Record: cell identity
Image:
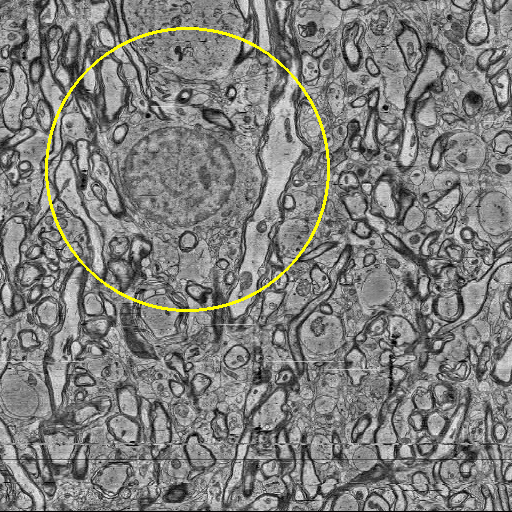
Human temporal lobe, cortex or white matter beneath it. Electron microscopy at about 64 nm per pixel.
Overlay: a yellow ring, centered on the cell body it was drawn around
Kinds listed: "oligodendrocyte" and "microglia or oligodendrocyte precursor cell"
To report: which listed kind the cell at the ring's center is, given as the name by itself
oligodendrocyte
